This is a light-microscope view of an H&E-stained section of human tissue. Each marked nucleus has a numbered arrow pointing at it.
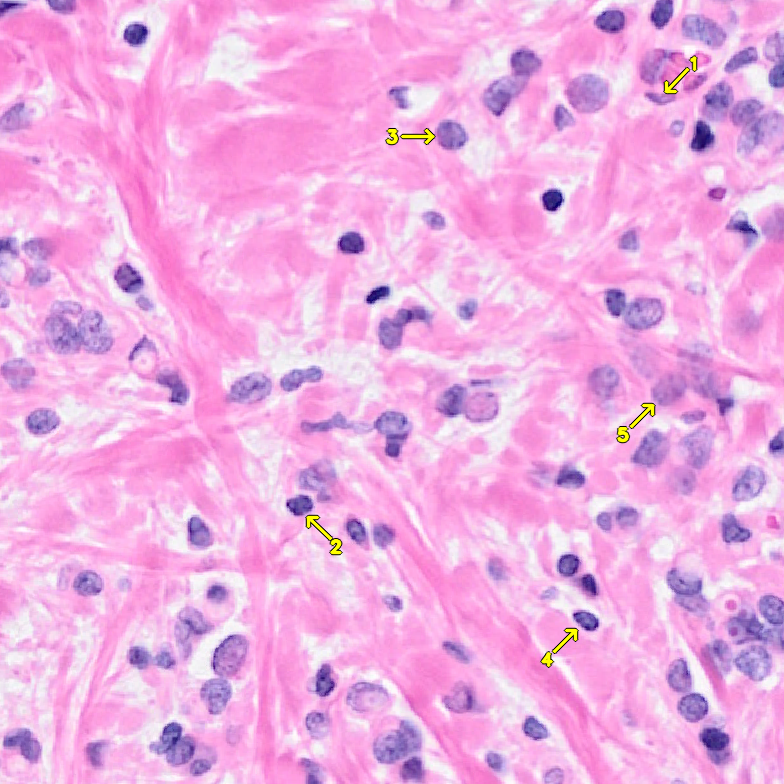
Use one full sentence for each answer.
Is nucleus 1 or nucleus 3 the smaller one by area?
Nucleus 1 covers less area, with nucleus 3 about 3 times as large.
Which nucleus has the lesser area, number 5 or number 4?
Nucleus 4 covers less area, with nucleus 5 about 2 times as large.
